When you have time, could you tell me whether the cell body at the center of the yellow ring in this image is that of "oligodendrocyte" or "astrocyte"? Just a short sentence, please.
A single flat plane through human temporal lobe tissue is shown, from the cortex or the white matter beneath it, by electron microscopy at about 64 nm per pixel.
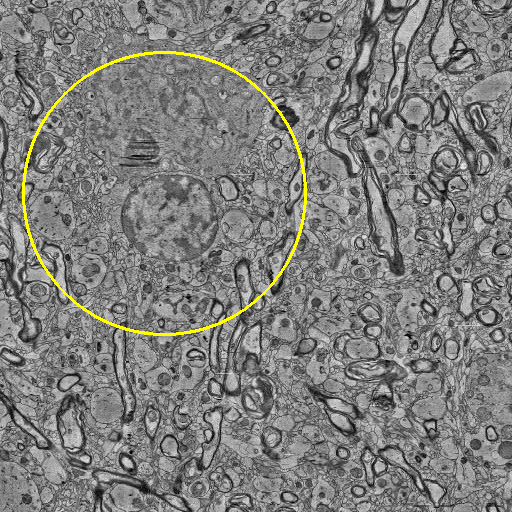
The cell body at the center of the ring is that of an oligodendrocyte.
